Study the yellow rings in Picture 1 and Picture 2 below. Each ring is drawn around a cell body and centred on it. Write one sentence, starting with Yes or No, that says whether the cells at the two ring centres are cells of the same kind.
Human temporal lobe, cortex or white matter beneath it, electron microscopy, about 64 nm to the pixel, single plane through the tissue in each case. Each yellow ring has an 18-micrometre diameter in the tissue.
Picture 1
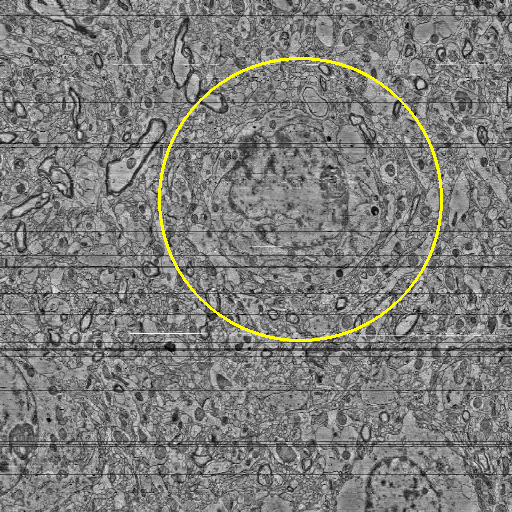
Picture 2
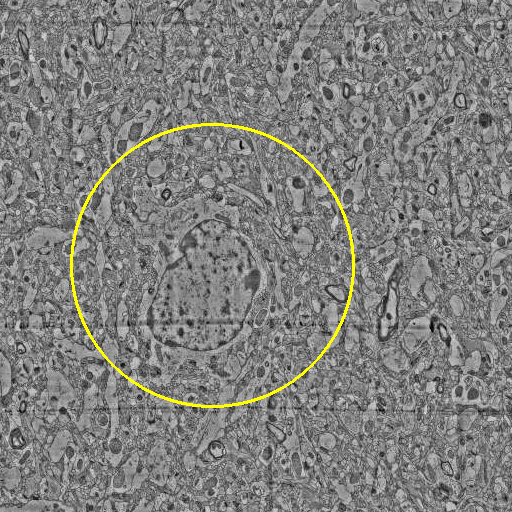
No, the cells at the ring centres are of two kinds.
